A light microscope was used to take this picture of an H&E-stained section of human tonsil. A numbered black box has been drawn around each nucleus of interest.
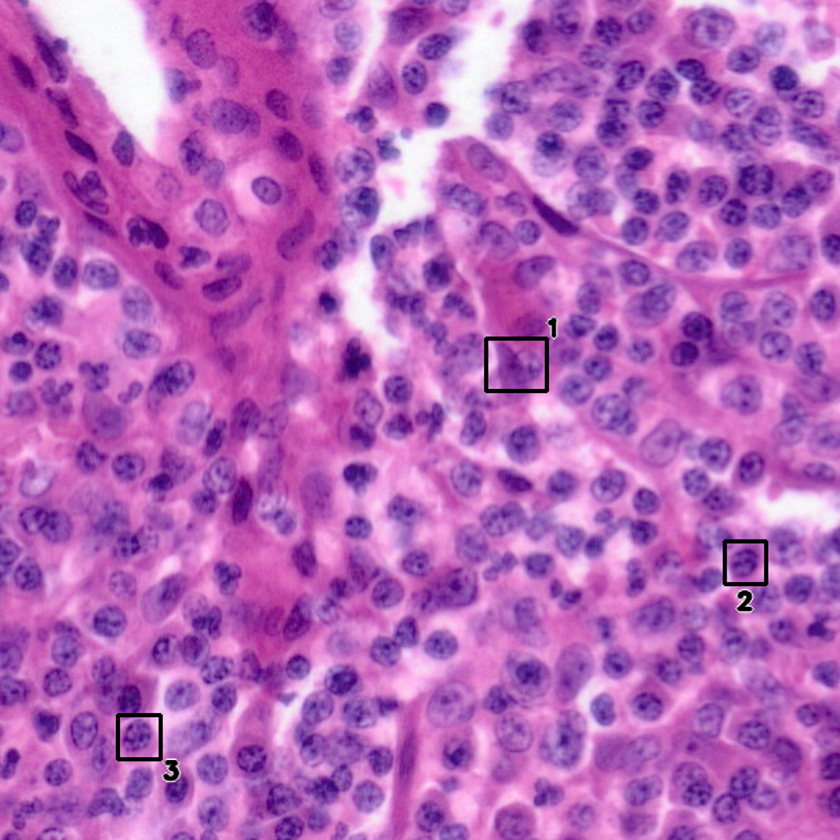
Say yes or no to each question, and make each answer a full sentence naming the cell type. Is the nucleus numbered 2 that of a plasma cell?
Yes, the cell corresponding to number 2 is a plasma cell.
